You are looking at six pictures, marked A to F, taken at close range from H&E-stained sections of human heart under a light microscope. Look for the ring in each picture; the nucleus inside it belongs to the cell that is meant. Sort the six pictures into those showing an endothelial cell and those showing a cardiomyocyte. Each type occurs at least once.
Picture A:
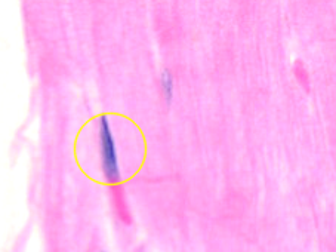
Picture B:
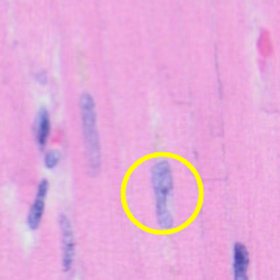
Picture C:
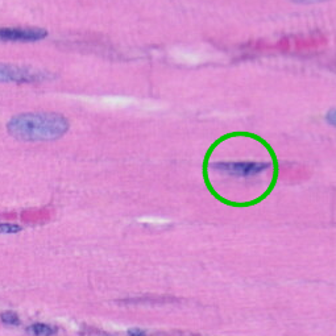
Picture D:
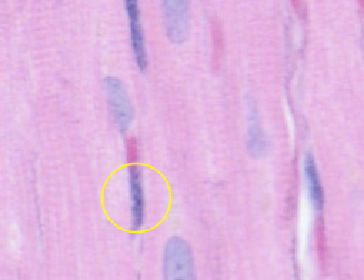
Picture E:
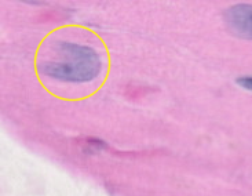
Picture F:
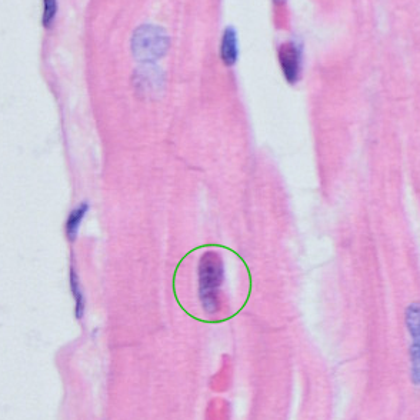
A: endothelial cell
B: cardiomyocyte
C: endothelial cell
D: endothelial cell
E: cardiomyocyte
F: endothelial cell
